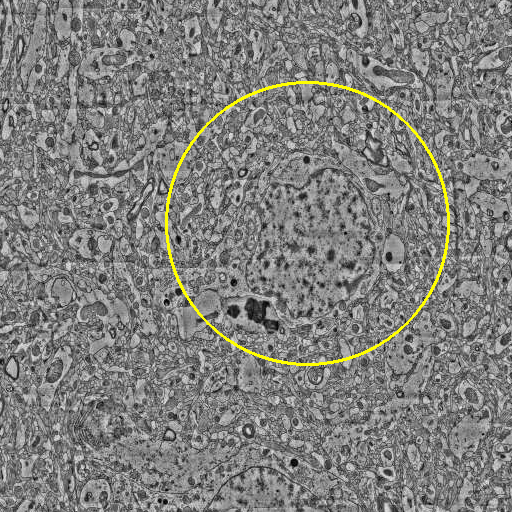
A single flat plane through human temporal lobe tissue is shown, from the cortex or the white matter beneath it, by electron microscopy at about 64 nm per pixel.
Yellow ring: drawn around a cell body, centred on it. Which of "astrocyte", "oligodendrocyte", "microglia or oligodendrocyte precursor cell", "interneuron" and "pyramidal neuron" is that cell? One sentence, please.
That cell body is from an interneuron.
